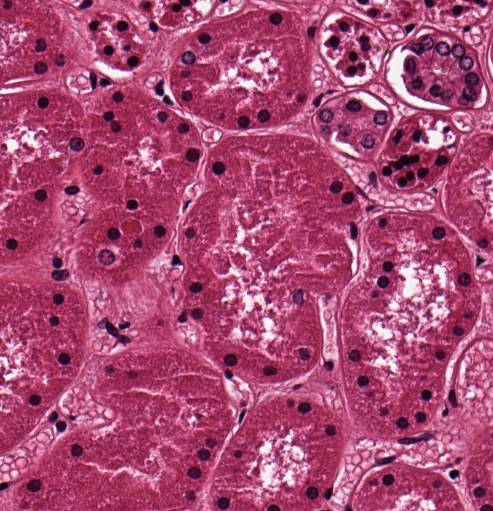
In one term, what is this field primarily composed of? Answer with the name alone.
cortical labyrinth of the kidney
